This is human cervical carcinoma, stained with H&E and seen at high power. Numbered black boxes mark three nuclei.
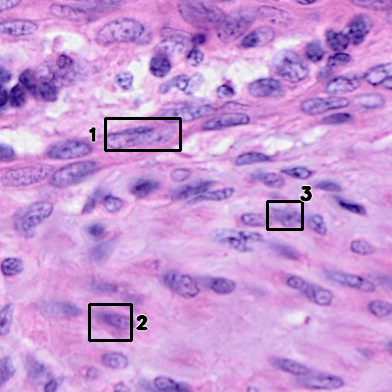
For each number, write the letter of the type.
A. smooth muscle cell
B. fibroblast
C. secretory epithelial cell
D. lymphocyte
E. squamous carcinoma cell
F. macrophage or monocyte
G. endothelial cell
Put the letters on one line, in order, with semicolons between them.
G; A; A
